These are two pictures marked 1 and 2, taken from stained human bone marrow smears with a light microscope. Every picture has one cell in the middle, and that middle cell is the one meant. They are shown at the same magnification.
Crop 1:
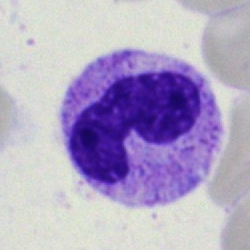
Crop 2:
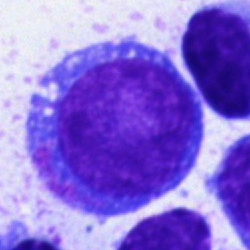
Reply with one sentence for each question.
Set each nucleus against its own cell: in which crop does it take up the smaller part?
The nucleus fills less of the cell in crop 1 than in crop 2.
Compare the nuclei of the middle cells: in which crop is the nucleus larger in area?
The nucleus in crop 2 is larger, with about 2 times the area of the one in crop 1.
